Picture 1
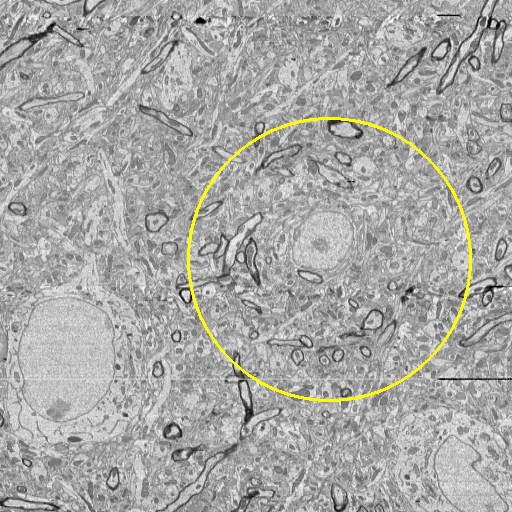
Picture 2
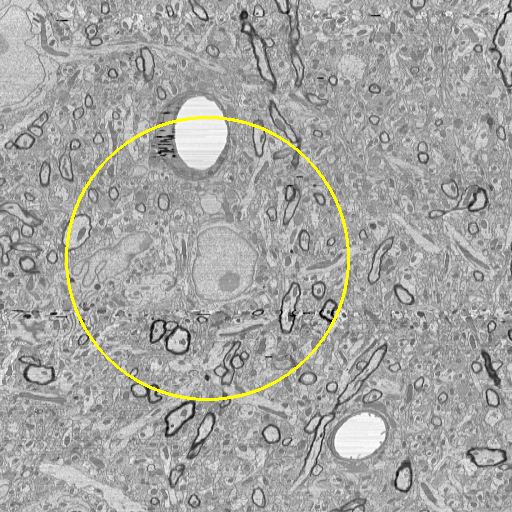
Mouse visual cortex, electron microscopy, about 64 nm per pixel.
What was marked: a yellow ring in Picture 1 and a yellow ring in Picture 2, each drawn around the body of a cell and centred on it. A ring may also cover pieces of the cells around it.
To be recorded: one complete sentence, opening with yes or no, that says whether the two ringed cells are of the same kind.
Yes, the two ringed cells are of the same kind.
